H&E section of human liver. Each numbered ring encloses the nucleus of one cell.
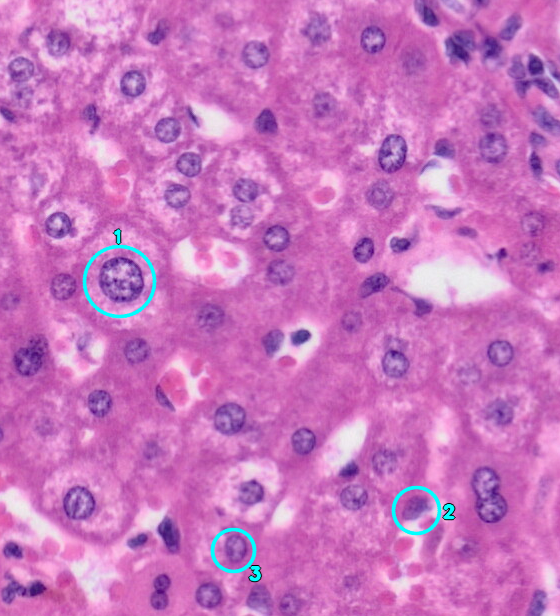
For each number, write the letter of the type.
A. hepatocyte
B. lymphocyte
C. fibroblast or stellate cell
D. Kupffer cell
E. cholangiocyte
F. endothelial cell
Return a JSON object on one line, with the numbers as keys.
{"1": "A", "2": "F", "3": "A"}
